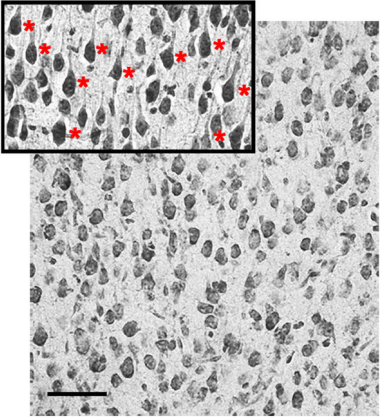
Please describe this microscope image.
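Many somata are large and pyramidal or teardrop-shaped, each tapering into a single thick process that runs in roughly the same direction, giving the field a parallel grain. Their cytoplasm is densely stained, so nuclei are hard to make out. Smaller, rounder dark cells lie scattered between the large ones. The enlarged inset shows these larger pyramidal cell bodies, marked by red asterisks, lying close together across the field.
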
